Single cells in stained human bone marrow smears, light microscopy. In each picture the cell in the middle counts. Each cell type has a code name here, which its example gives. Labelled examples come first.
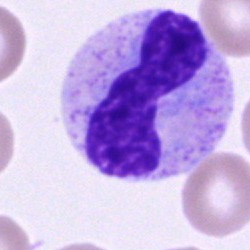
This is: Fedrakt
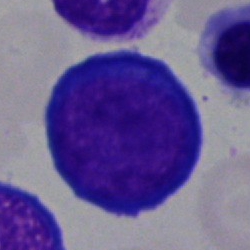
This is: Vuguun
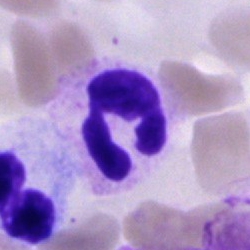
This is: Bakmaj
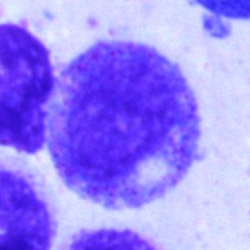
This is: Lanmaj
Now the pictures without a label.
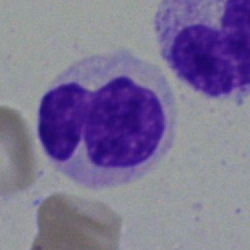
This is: Fedrakt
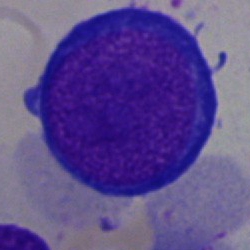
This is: Vuguun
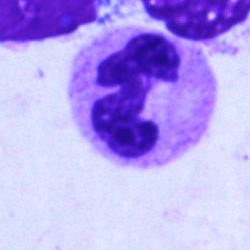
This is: Bakmaj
